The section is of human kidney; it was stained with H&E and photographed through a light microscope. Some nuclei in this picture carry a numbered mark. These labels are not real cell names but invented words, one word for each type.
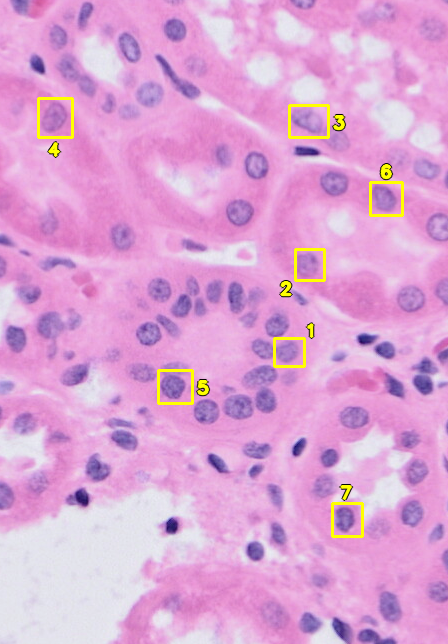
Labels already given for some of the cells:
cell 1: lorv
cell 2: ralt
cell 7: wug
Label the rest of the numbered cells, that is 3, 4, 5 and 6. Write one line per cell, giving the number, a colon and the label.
3: ralt
4: ralt
5: lorv
6: ralt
